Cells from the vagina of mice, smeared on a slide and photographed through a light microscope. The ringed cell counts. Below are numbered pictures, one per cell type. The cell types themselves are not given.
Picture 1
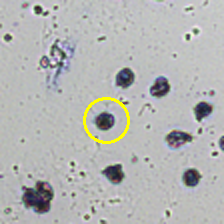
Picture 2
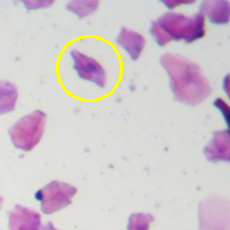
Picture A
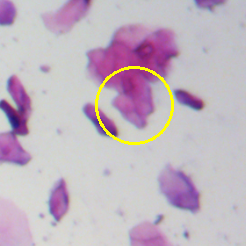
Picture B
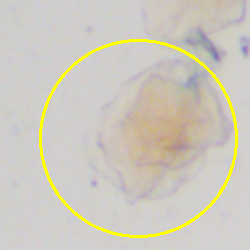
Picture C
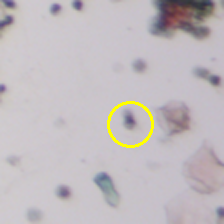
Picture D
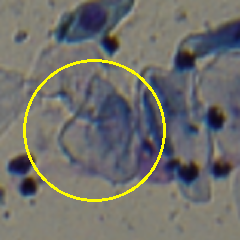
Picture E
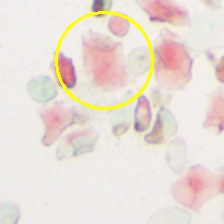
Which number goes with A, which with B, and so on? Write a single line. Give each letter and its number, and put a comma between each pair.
A 2, B 2, C 1, D 2, E 2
